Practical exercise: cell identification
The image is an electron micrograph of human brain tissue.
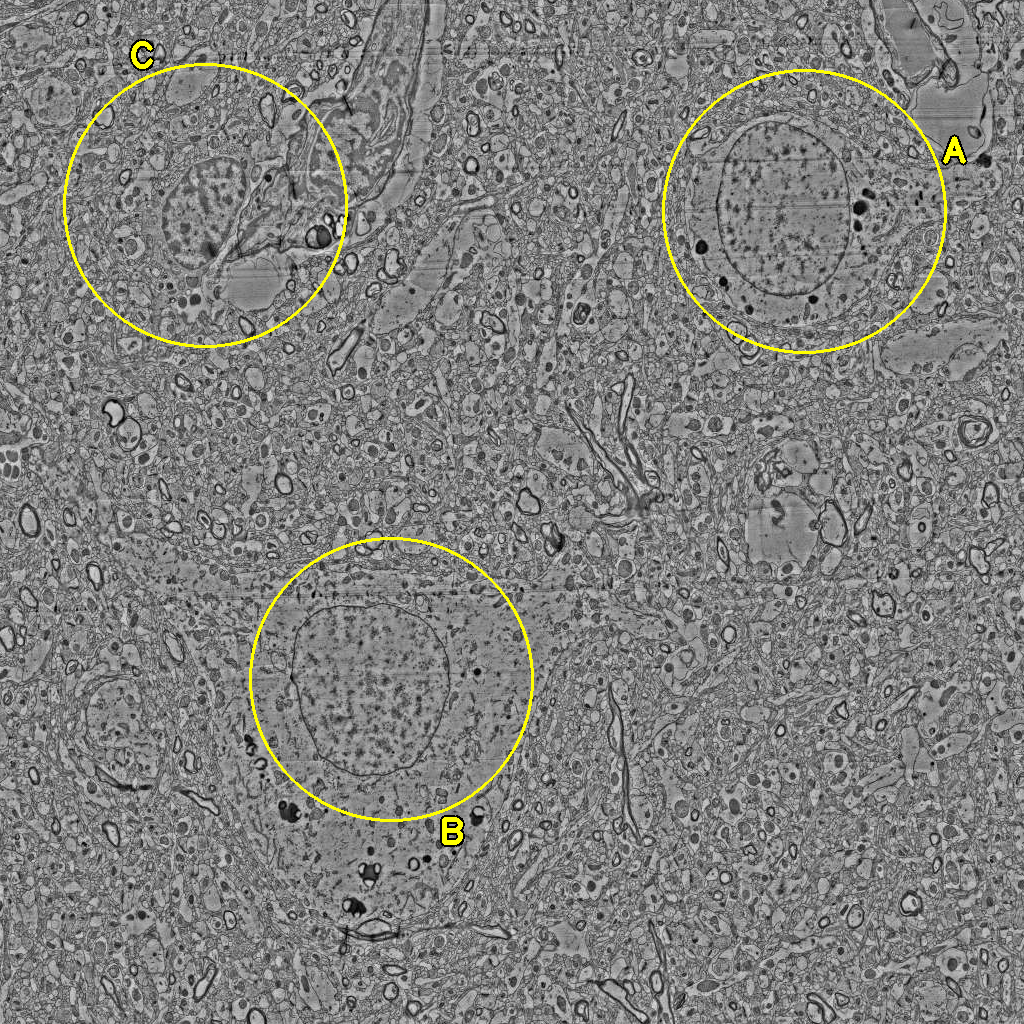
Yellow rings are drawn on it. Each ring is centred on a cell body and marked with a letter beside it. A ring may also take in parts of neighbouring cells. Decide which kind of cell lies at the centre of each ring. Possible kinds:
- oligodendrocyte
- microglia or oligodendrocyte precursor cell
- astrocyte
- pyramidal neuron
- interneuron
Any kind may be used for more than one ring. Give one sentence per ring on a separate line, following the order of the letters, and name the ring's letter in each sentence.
The cell in the middle of ring A is a pyramidal neuron.
The cell in the middle of ring B is a pyramidal neuron.
The cell in the middle of ring C is an oligodendrocyte.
